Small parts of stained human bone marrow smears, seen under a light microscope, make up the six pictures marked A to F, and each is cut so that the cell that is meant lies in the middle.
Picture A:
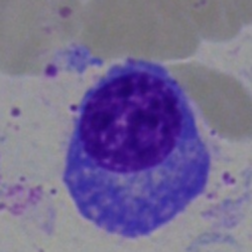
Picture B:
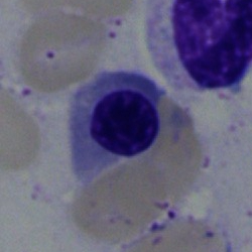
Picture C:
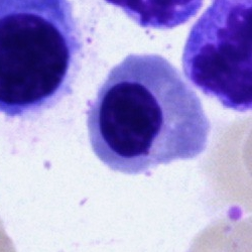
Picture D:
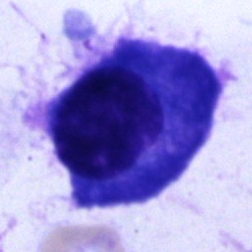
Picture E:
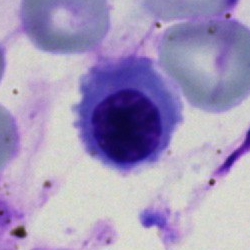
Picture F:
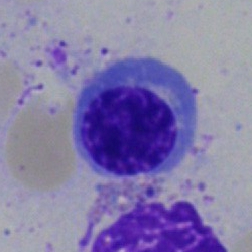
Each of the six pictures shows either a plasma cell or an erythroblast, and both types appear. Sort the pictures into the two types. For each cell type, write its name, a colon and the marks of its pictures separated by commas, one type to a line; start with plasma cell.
plasma cell: A, D
erythroblast: B, C, E, F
